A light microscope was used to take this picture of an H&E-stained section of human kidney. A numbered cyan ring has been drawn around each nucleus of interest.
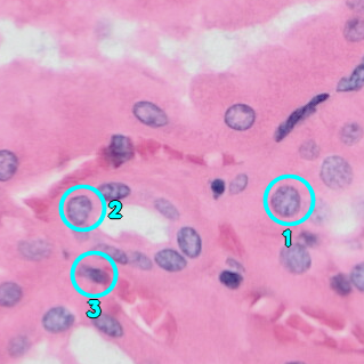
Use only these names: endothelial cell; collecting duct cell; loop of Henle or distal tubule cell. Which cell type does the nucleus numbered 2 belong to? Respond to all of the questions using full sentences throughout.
The cell to which the number 2 is assigned is a collecting duct cell.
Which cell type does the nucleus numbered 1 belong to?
Here the cell numbered 1 is a loop of Henle or distal tubule cell.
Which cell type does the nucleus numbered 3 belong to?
The cell tagged with 3 in this tissue section is an endothelial cell.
